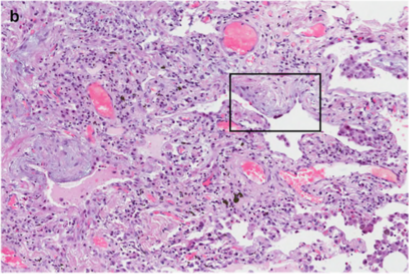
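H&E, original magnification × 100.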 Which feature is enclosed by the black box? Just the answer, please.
Fibrotic focus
